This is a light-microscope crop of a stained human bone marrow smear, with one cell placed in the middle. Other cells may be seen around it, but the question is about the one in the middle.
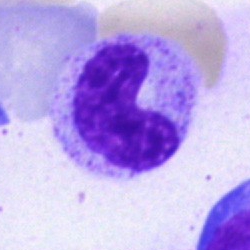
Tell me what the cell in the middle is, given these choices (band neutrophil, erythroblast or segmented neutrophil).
band neutrophil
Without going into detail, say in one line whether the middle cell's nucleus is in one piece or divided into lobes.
Its nucleus is compact and single, with a round, oval or kidney-shaped form.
